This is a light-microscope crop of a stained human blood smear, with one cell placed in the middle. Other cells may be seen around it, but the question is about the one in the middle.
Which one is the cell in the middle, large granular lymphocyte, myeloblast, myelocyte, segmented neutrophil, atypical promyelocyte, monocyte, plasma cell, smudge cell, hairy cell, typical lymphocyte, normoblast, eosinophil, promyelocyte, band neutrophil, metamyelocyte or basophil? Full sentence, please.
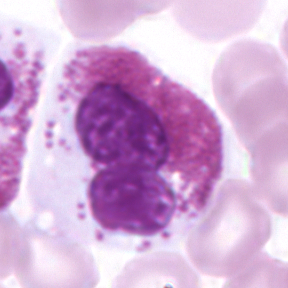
The cell shown in the center of this light-microscope crop is an eosinophil.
